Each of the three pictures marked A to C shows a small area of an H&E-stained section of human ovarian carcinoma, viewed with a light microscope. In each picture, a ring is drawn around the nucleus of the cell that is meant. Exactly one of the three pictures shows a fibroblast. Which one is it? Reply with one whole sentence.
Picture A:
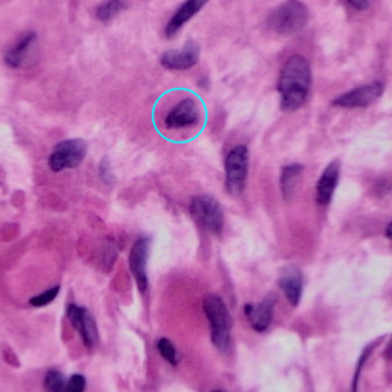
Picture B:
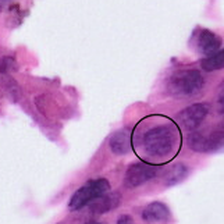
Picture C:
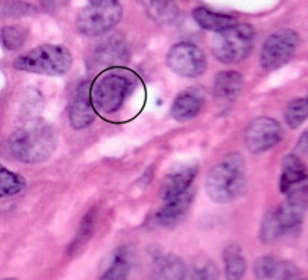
The cell in picture A is the fibroblast.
